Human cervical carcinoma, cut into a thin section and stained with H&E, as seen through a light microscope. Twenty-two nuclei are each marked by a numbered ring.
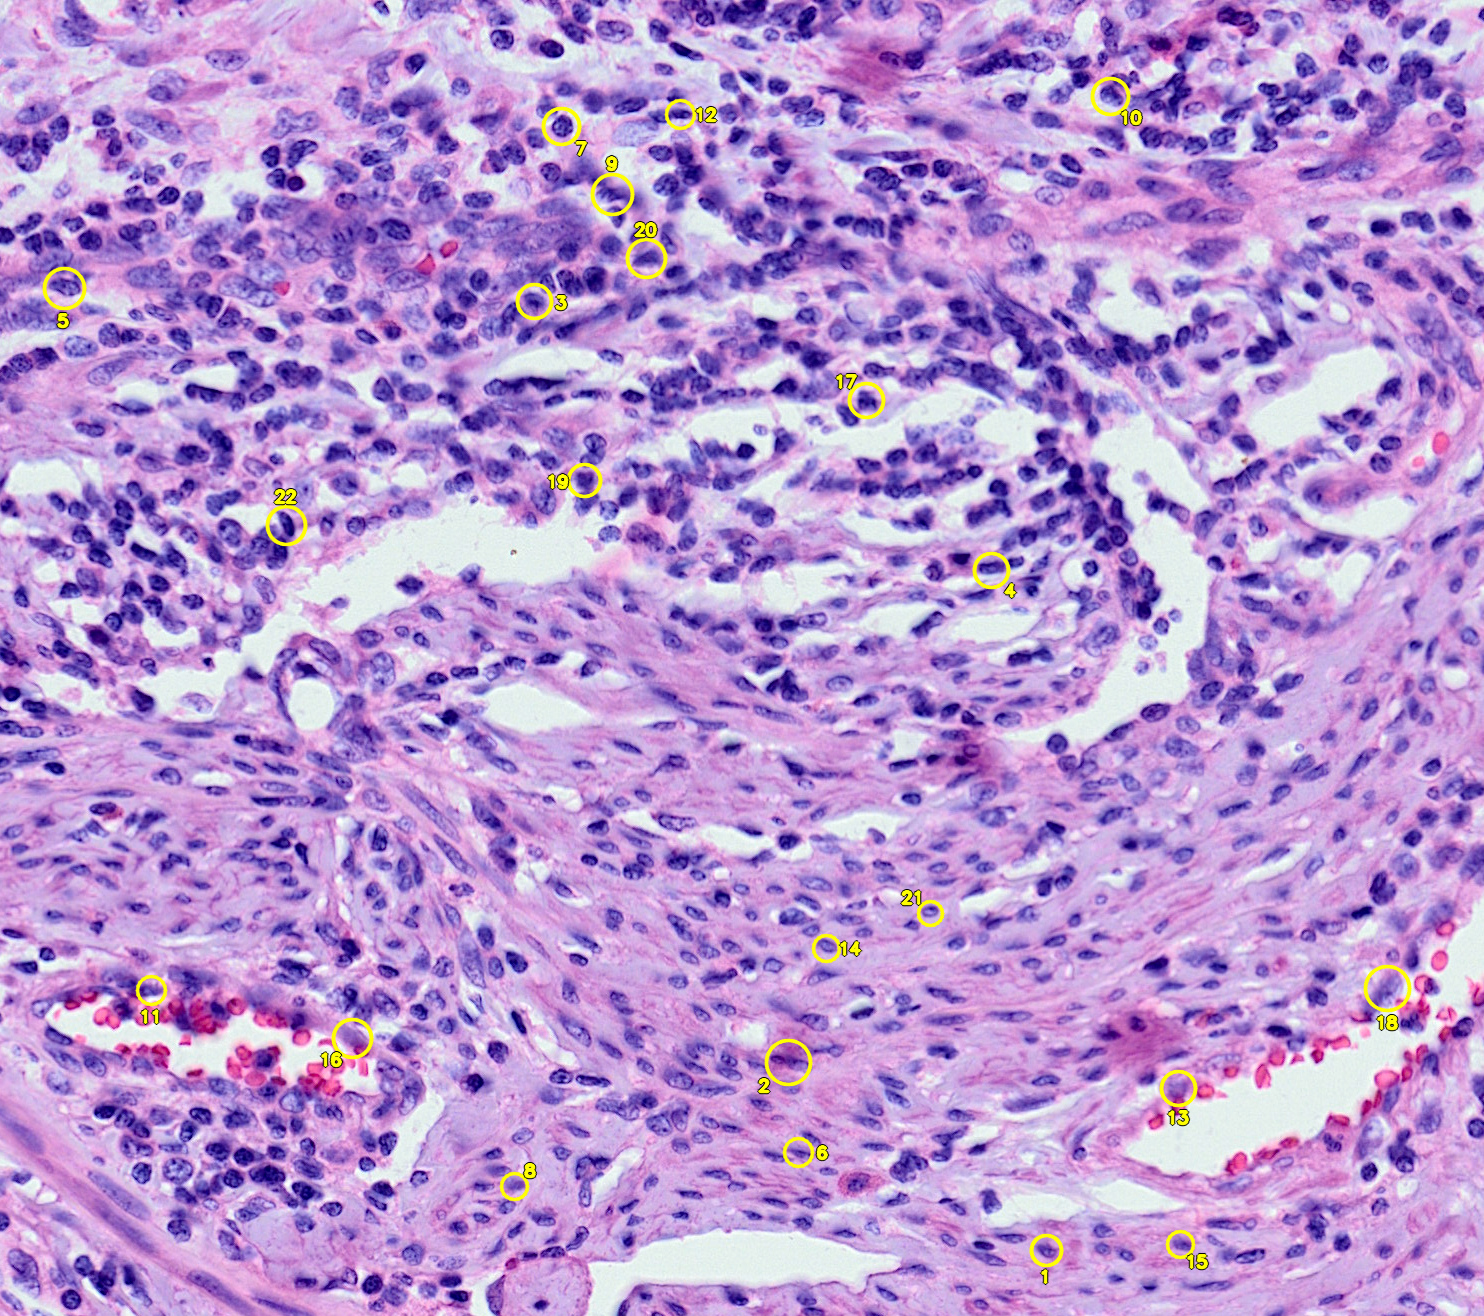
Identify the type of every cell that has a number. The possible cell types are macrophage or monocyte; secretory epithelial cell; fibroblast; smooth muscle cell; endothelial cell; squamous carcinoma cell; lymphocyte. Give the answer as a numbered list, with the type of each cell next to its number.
1. smooth muscle cell
2. smooth muscle cell
3. lymphocyte
4. lymphocyte
5. lymphocyte
6. smooth muscle cell
7. lymphocyte
8. smooth muscle cell
9. lymphocyte
10. lymphocyte
11. endothelial cell
12. lymphocyte
13. endothelial cell
14. smooth muscle cell
15. smooth muscle cell
16. endothelial cell
17. lymphocyte
18. endothelial cell
19. lymphocyte
20. lymphocyte
21. smooth muscle cell
22. lymphocyte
